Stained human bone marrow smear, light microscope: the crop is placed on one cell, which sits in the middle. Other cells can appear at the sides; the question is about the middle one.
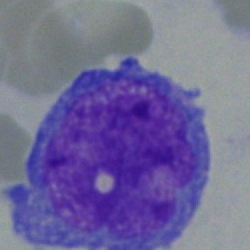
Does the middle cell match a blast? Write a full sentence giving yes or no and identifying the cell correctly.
Yes, the cell at the middle is a blast.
